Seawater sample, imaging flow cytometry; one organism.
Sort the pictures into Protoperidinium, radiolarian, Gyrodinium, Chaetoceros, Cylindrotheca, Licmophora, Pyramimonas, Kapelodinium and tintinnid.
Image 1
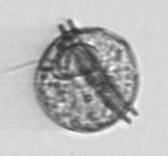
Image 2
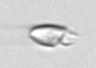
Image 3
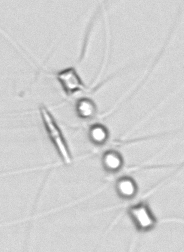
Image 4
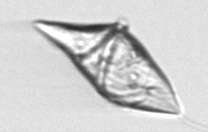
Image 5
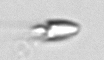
Protoperidinium: 1
Kapelodinium: 2, 5
Chaetoceros: 3
Gyrodinium: 4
